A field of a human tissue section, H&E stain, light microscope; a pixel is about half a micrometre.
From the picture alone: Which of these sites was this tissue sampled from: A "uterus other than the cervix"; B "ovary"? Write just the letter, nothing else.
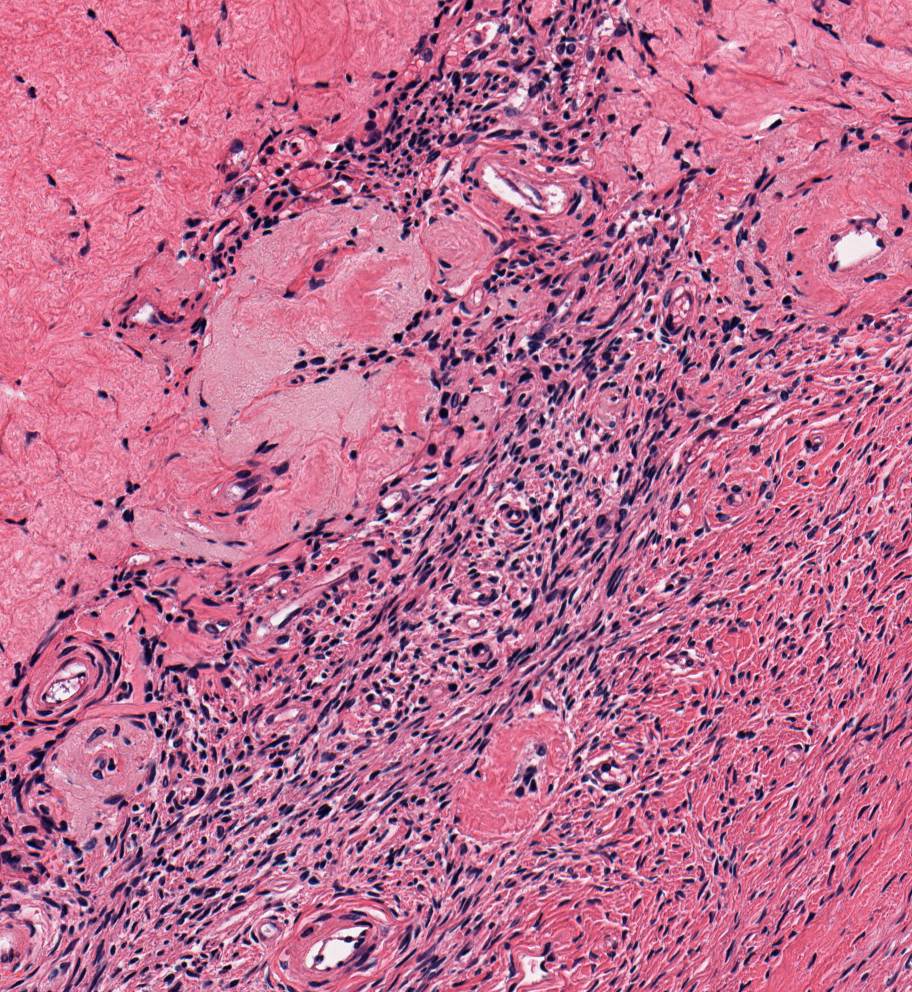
B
